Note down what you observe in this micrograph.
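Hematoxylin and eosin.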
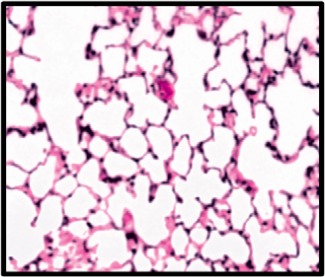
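This is lung parenchyma, made up of many open, rounded alveolar air spaces. The alveolar walls are thin, delicate pink septa in which dark purple nuclei lie scattered rather than crowded. The air spaces are clear and mostly empty. A few small pink patches mark places where the septa meet.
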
